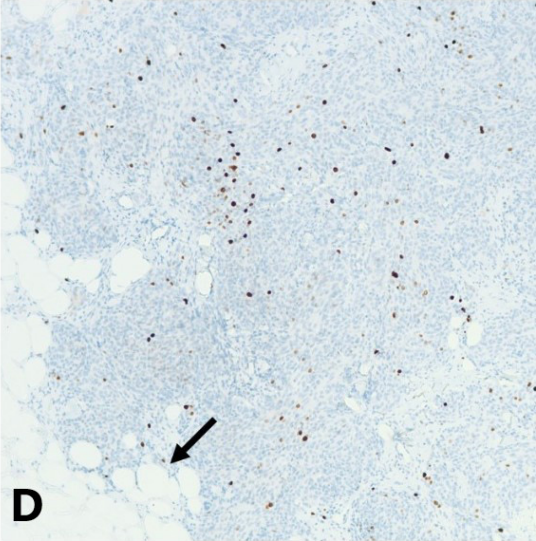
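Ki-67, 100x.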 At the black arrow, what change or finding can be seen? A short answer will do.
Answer: Invasion into adipose tissue.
